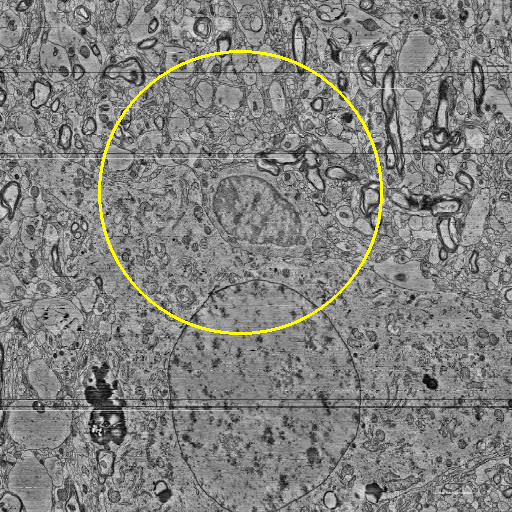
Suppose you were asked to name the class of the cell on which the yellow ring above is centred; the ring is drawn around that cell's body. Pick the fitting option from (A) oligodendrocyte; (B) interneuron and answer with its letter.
A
